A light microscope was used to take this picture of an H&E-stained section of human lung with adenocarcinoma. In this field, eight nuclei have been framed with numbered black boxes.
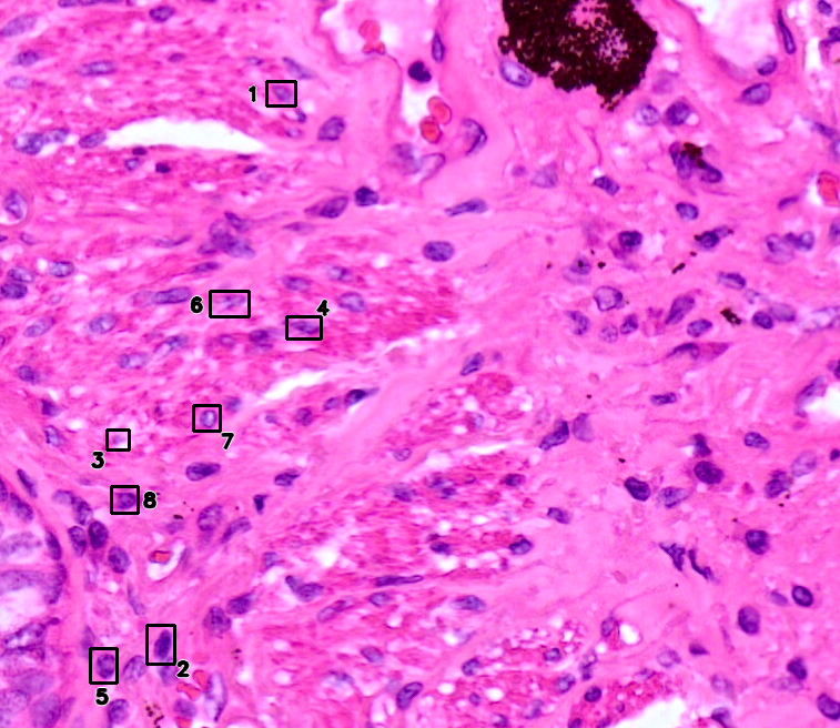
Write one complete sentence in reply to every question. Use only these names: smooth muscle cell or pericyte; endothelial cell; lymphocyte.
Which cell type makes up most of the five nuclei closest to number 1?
Most of the five nuclei nearest to number 1 are those of smooth muscle cells or pericytes.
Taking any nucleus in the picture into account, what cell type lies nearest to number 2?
The nearest nucleus to number 2 belongs to an endothelial cell.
